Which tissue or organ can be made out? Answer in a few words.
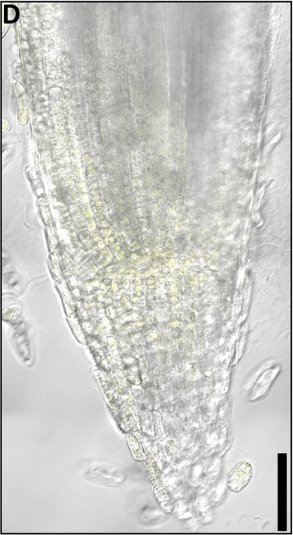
root meristem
